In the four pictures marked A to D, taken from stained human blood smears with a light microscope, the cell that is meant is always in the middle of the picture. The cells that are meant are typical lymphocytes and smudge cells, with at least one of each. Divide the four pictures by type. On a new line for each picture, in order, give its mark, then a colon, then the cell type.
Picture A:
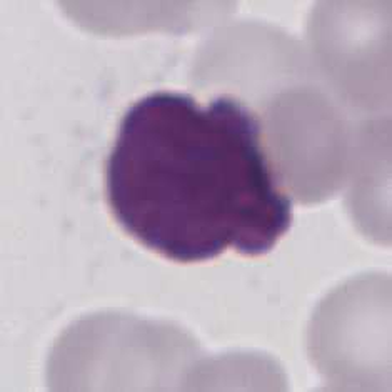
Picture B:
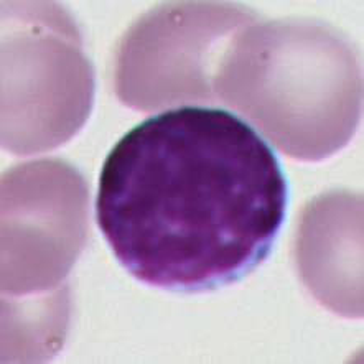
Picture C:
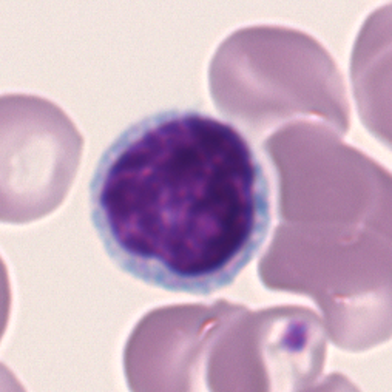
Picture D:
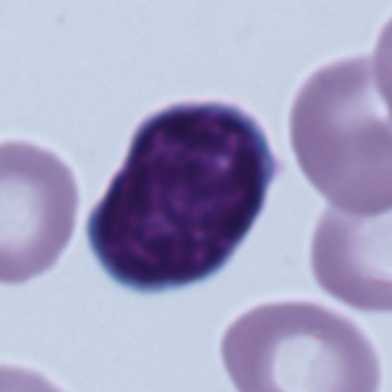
A: smudge cell
B: typical lymphocyte
C: typical lymphocyte
D: typical lymphocyte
